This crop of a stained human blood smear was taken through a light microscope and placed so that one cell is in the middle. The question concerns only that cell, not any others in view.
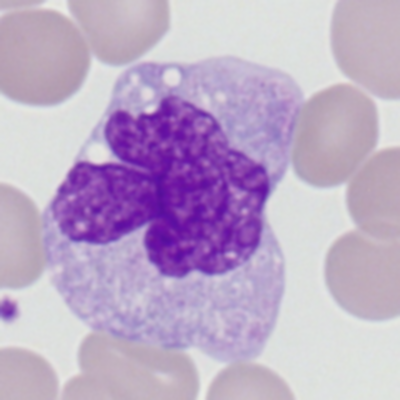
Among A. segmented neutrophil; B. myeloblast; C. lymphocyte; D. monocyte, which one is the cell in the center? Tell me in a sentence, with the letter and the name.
That the central cell is a monocyte makes option D correct.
